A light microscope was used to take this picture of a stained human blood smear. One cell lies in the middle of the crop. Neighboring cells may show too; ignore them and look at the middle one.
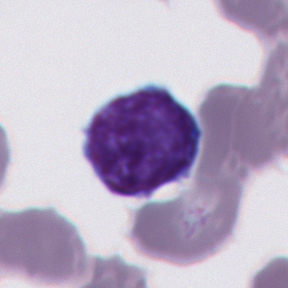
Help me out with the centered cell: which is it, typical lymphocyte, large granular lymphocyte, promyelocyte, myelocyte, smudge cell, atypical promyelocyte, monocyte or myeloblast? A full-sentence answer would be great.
The cell centered in this field of view is a typical lymphocyte.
